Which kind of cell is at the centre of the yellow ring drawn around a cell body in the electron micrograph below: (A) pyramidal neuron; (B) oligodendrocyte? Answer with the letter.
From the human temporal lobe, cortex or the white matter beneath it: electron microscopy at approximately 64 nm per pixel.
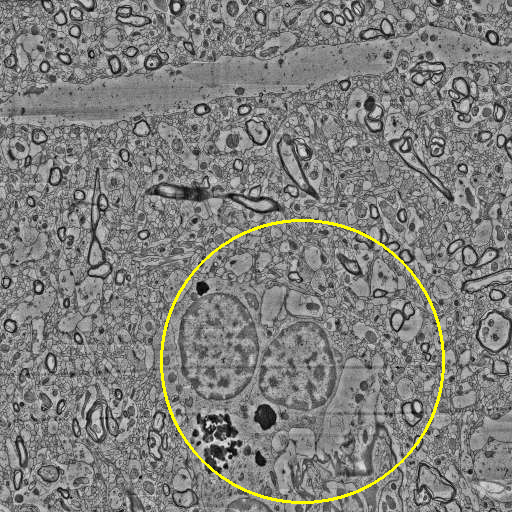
B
